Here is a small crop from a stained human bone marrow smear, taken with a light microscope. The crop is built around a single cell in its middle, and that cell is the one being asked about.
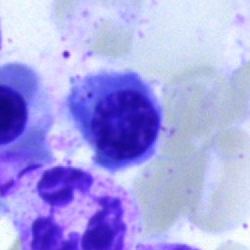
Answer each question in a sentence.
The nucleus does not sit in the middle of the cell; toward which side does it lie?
It is shifted toward the lower right of the cell.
